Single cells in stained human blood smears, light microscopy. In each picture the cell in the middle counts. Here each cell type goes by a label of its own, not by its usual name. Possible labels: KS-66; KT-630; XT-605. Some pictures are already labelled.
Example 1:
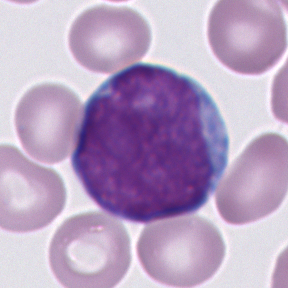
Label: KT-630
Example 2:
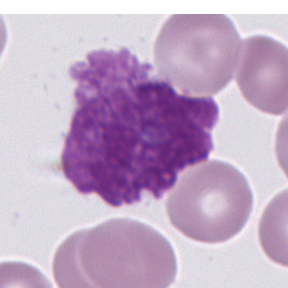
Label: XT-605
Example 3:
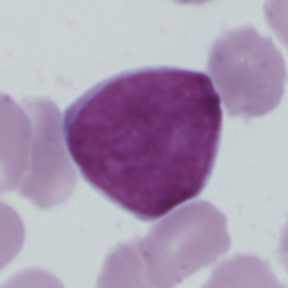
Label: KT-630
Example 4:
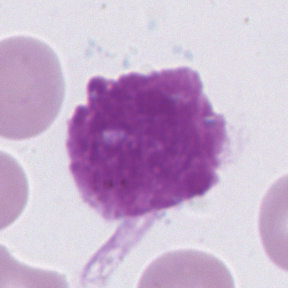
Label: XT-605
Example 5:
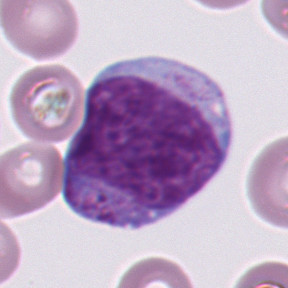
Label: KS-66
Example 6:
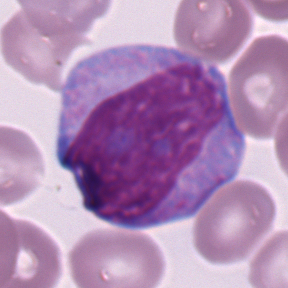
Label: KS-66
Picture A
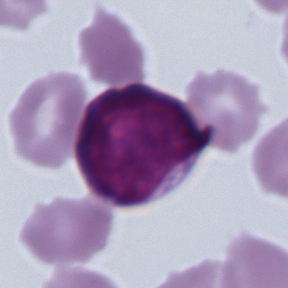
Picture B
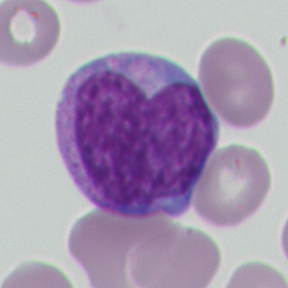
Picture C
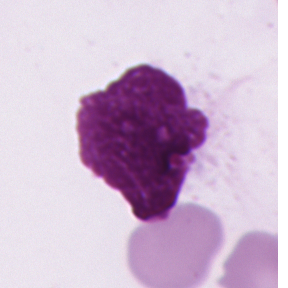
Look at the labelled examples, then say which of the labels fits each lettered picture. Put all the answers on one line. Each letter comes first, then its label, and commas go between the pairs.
A KT-630, B KS-66, C XT-605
